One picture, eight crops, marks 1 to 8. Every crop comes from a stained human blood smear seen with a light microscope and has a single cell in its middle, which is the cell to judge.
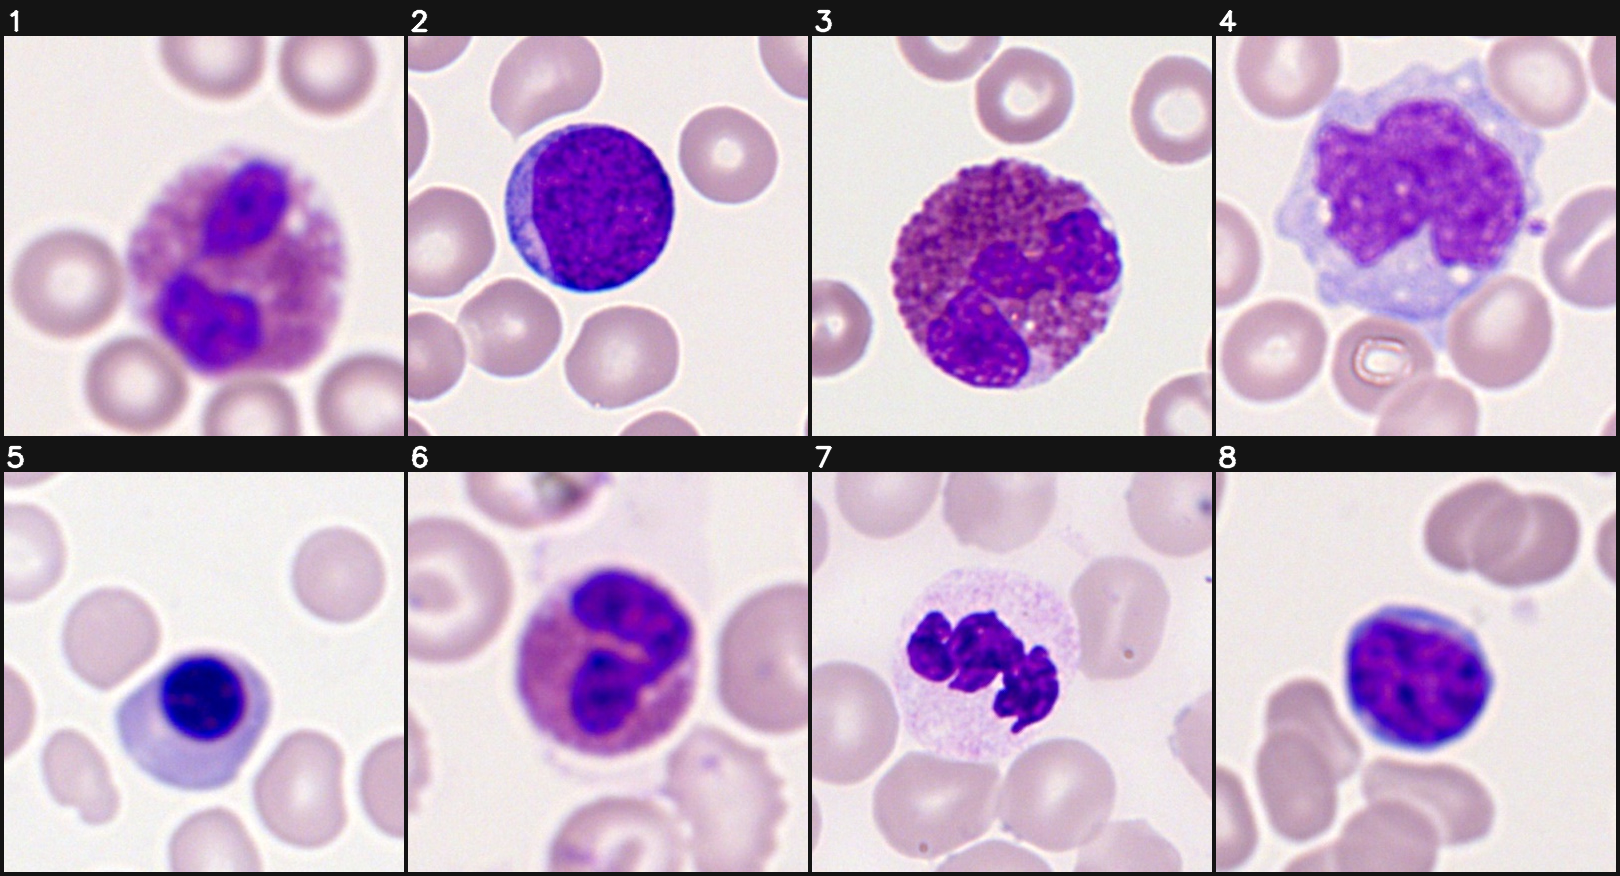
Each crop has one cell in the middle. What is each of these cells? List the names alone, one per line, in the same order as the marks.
eosinophil
myeloblast
eosinophil
monocyte
erythroblast
eosinophil
segmented neutrophil
lymphocyte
